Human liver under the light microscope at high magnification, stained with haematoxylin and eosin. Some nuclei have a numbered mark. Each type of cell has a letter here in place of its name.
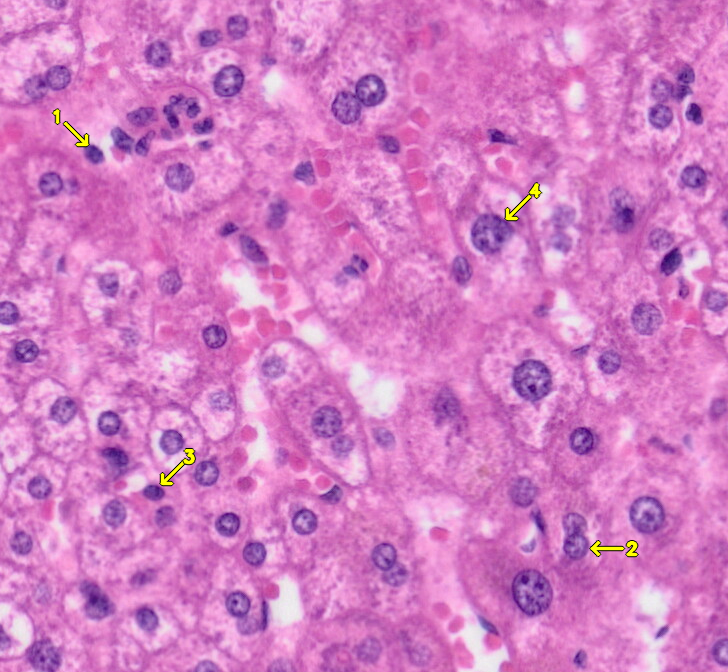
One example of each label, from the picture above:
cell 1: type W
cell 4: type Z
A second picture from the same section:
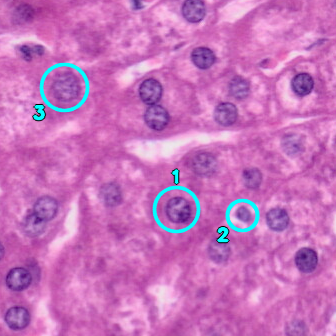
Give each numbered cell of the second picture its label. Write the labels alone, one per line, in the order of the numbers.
type Z
type W
type Z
